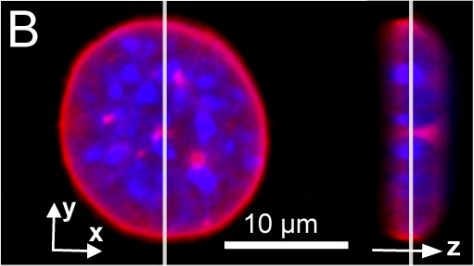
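Face-on, the nucleus is nearly round and is outlined by a continuous bright red rim at its envelope. The blue chromatin fills the interior unevenly and has many brighter foci.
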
